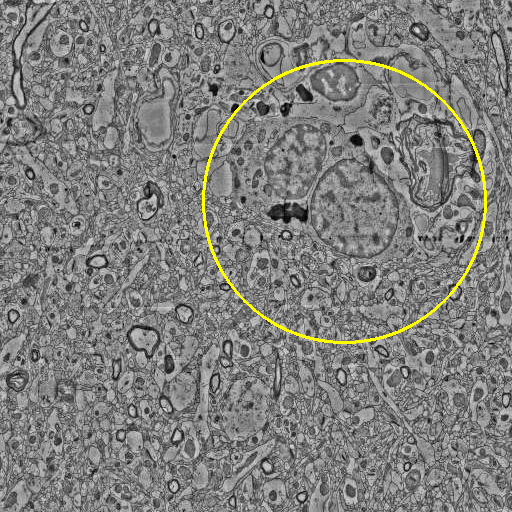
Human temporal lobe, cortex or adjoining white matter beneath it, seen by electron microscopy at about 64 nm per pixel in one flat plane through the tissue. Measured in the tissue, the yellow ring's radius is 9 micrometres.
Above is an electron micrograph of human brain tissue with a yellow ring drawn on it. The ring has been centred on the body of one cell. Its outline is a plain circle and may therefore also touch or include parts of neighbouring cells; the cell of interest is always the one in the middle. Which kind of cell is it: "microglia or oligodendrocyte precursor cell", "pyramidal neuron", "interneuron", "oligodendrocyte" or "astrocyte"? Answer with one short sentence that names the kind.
The ring's central cell body is that of an oligodendrocyte.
